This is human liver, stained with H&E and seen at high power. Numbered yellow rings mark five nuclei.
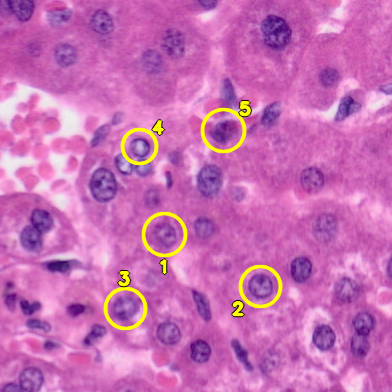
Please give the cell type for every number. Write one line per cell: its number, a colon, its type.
1: hepatocyte
2: hepatocyte
3: hepatocyte
4: cholangiocyte
5: fibroblast or stellate cell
